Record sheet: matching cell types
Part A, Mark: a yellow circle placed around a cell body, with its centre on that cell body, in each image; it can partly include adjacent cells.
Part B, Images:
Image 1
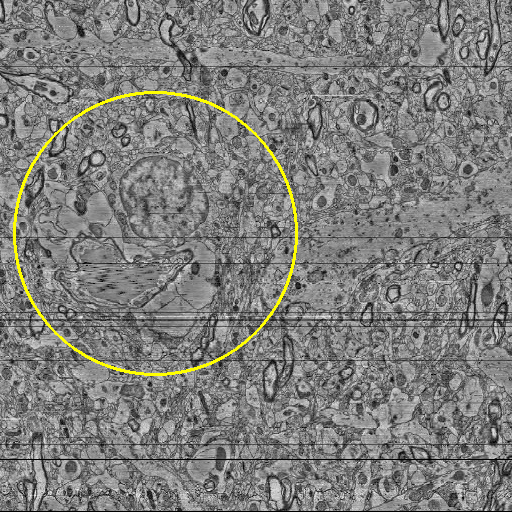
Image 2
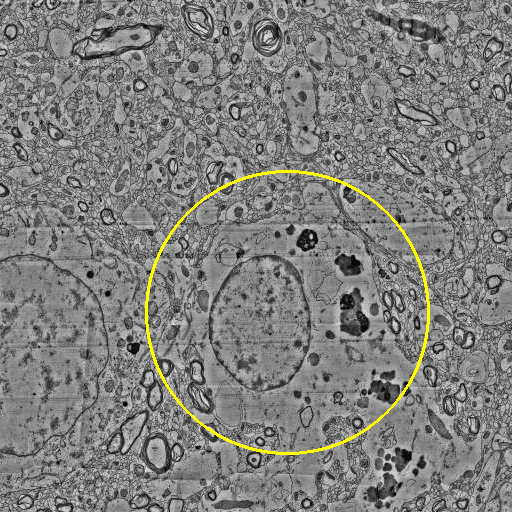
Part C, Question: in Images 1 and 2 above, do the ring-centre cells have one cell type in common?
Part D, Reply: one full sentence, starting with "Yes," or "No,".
No, the ring-centre cells of Image 1 and Image 2 are each of a separate cell type.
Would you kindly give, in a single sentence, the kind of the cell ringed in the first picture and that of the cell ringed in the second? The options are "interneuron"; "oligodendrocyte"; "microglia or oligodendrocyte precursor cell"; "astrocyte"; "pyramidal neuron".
The second cell is an astrocyte, and the first cell is an oligodendrocyte.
